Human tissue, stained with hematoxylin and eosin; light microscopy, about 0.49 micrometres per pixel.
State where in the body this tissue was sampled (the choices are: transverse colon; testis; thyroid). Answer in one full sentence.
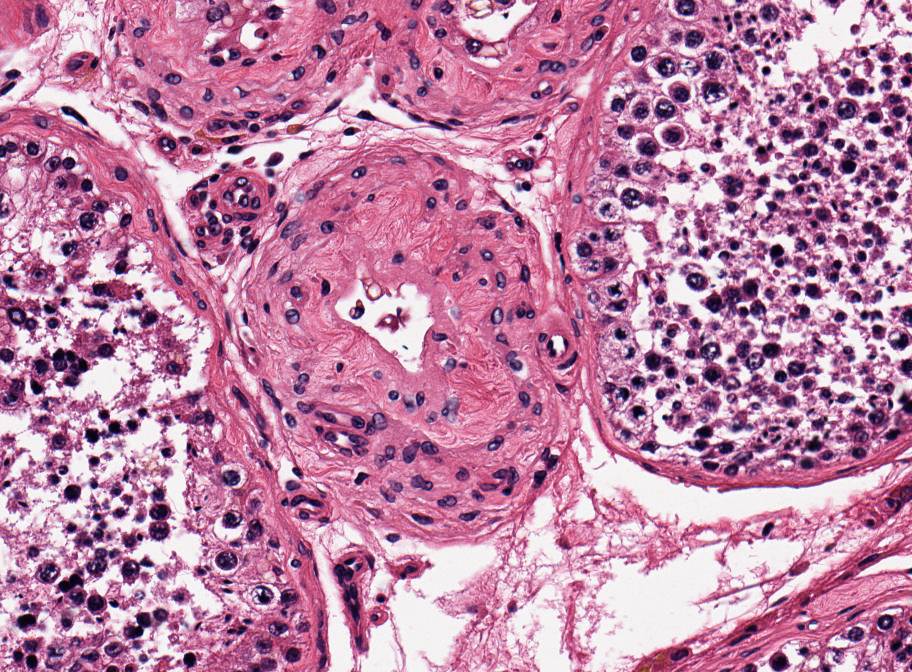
The sample was taken from the testis.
